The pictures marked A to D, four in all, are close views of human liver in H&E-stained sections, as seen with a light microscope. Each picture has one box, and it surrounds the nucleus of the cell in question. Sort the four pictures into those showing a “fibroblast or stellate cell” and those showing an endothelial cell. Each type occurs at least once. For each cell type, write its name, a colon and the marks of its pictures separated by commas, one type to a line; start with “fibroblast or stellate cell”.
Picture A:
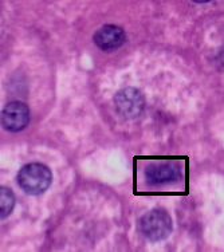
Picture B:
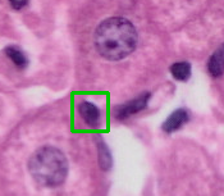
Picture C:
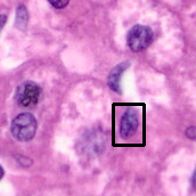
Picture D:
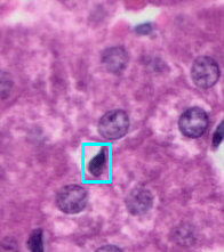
fibroblast or stellate cell: A, B, C
endothelial cell: D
